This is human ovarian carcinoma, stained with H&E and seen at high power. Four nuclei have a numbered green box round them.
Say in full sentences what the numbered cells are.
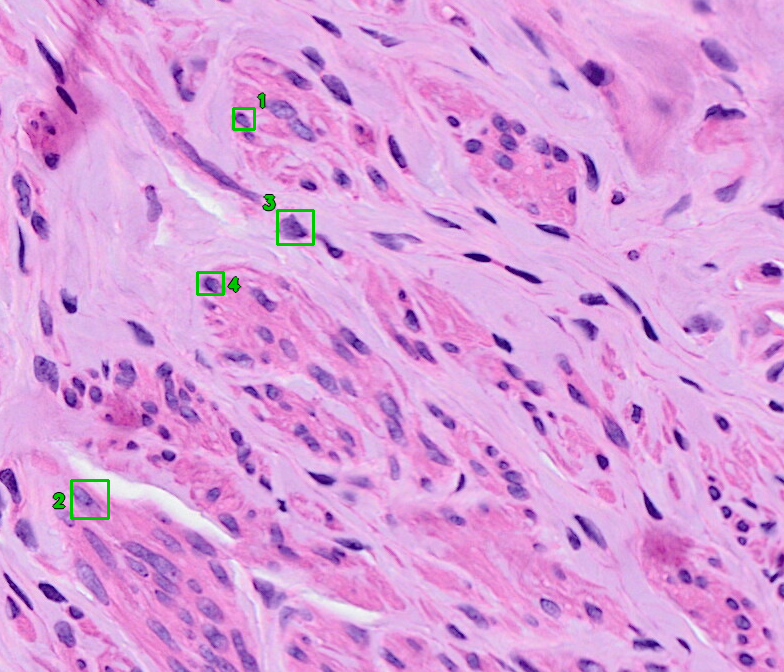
Cell 1 is a smooth muscle cell, cell 2 is a smooth muscle cell, cell 3 is a fibroblast and cell 4 is a smooth muscle cell.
